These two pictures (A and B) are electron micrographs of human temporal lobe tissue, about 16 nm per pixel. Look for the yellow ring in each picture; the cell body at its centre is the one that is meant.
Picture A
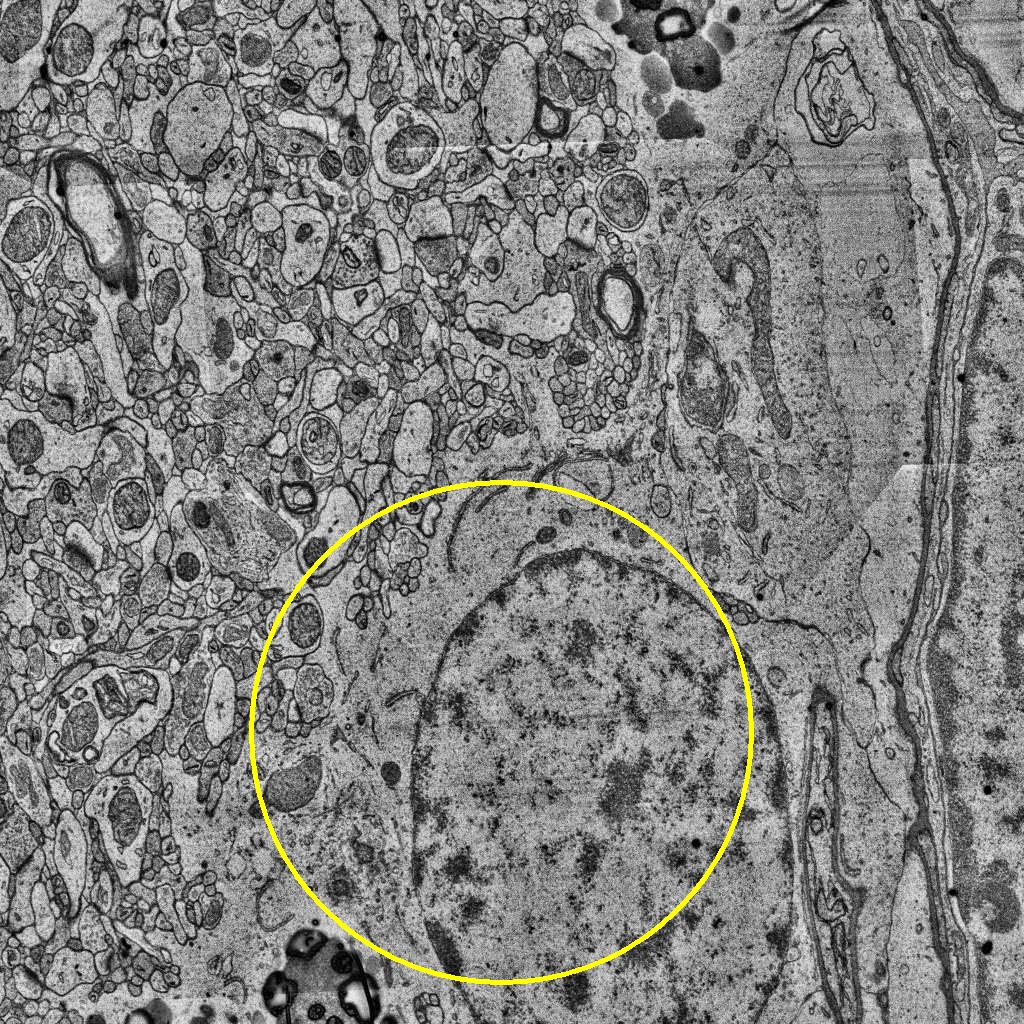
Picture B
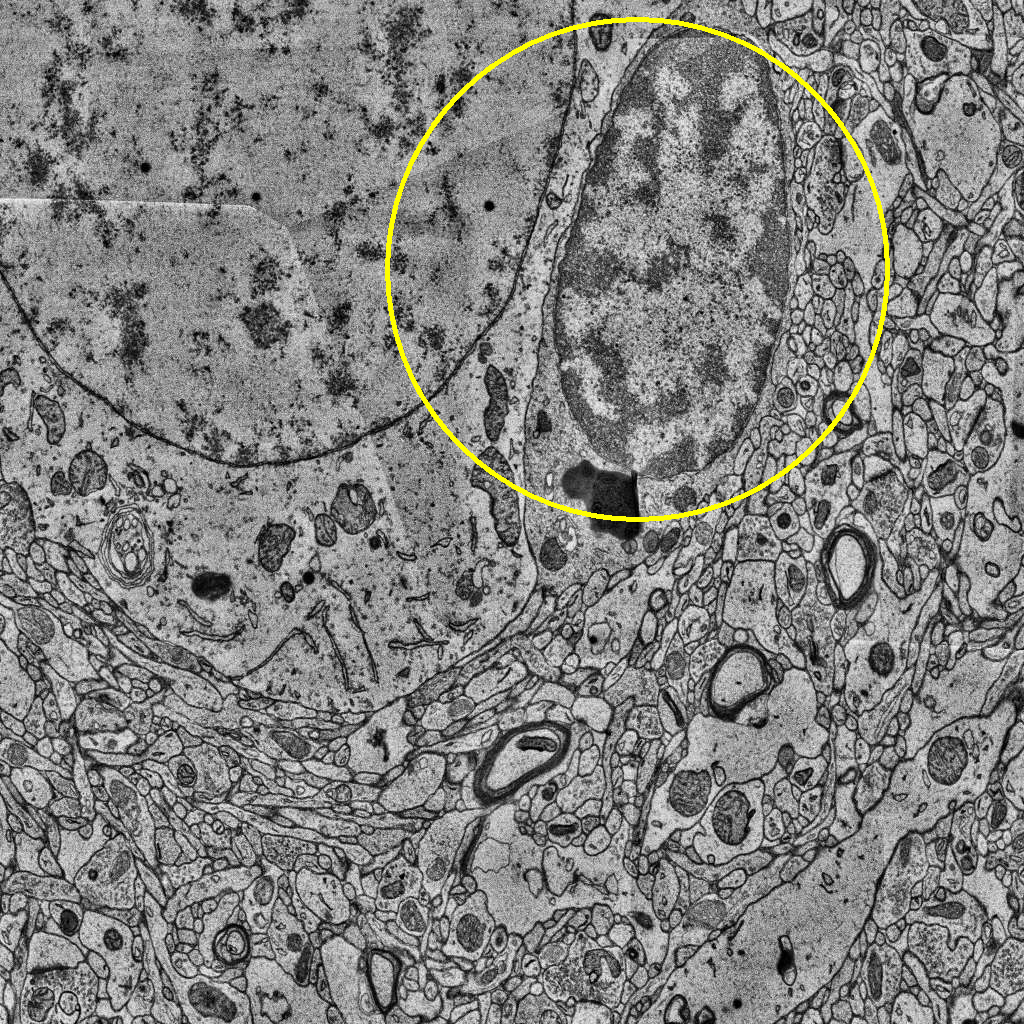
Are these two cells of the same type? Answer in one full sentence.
No. Picture A shows an astrocyte, but picture B shows an oligodendrocyte.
